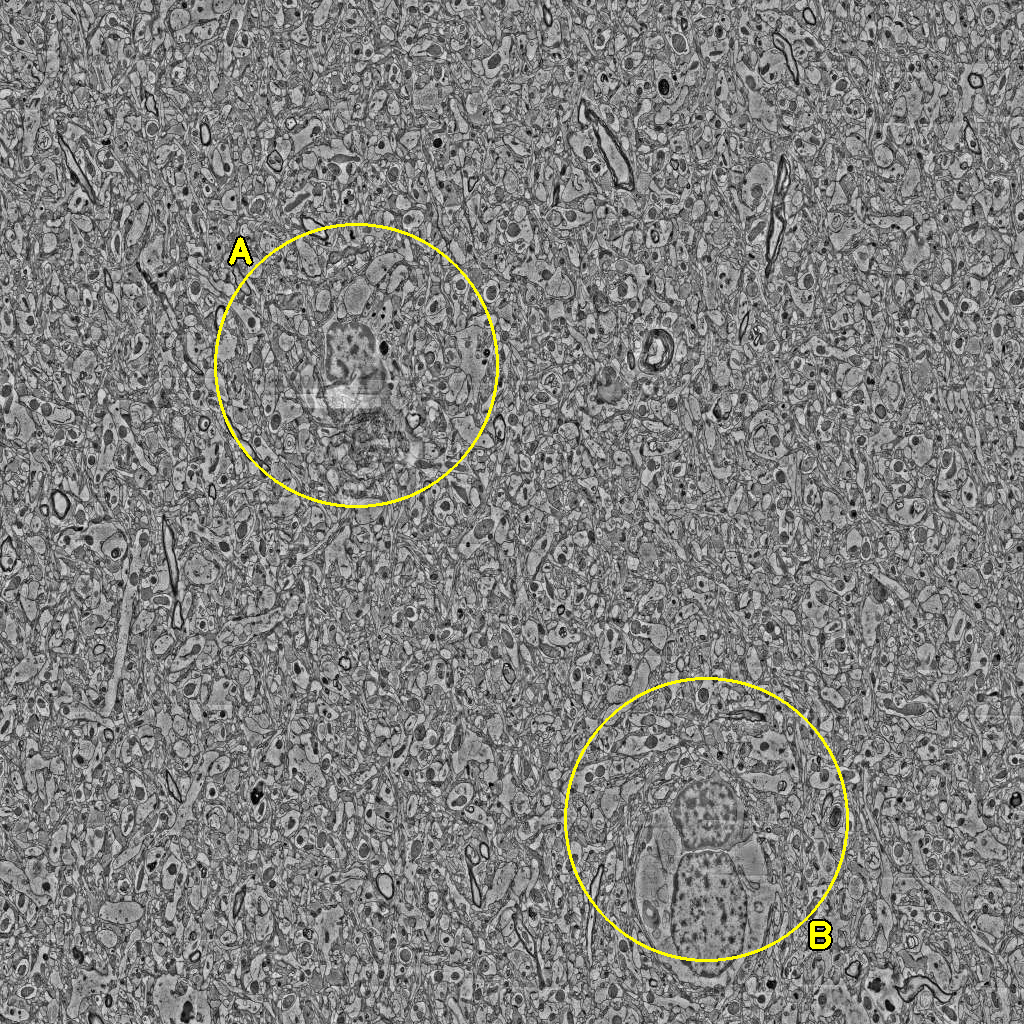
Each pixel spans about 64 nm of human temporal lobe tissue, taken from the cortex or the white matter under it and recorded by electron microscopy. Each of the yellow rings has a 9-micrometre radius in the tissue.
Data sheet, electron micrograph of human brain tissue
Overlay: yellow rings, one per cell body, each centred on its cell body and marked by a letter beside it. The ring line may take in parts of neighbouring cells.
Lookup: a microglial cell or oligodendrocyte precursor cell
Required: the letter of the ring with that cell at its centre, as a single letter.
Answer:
A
